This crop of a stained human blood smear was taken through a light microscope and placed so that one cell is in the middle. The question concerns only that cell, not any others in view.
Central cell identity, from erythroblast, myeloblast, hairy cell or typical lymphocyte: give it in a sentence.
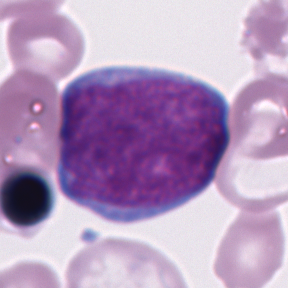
The cell at the centre of the field is a myeloblast.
